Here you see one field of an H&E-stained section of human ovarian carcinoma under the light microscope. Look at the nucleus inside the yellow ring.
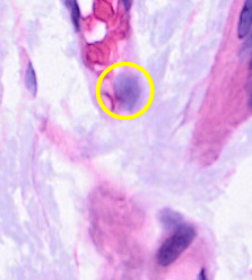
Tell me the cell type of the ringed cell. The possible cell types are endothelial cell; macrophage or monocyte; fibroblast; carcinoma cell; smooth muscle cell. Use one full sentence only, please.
Right, so the ringed cell is an endothelial cell, to answer that.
